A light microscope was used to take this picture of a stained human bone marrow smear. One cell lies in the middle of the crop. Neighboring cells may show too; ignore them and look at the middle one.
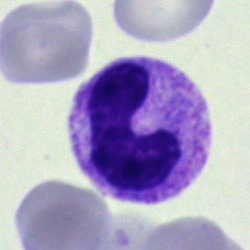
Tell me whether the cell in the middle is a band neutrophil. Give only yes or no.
yes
